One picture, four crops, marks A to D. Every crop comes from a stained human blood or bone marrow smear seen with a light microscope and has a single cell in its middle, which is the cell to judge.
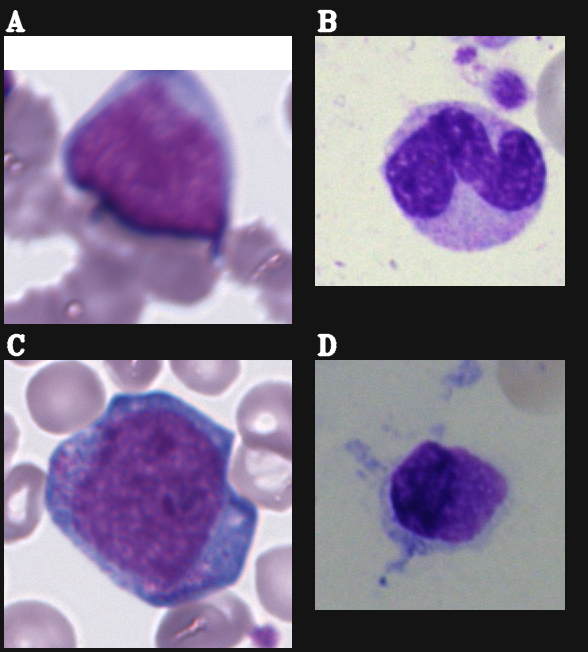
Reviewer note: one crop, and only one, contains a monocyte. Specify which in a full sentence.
Look at crop B; that is the one with a monocyte in its center.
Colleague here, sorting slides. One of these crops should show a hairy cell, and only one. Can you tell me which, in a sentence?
Here the crop that shows a hairy cell is crop D.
